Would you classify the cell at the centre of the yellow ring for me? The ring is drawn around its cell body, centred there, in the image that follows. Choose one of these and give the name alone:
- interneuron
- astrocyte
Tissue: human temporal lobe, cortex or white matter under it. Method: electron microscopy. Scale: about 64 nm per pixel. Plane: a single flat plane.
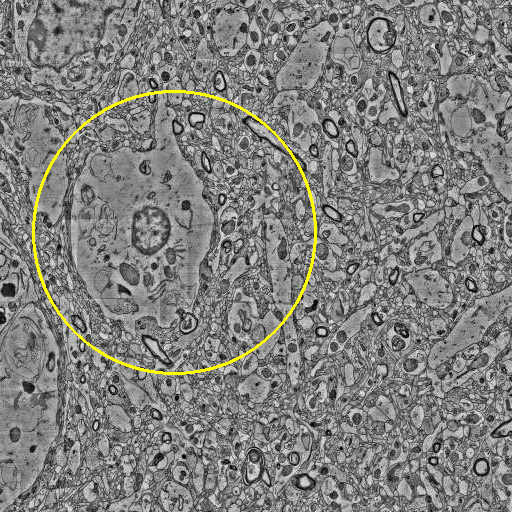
astrocyte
